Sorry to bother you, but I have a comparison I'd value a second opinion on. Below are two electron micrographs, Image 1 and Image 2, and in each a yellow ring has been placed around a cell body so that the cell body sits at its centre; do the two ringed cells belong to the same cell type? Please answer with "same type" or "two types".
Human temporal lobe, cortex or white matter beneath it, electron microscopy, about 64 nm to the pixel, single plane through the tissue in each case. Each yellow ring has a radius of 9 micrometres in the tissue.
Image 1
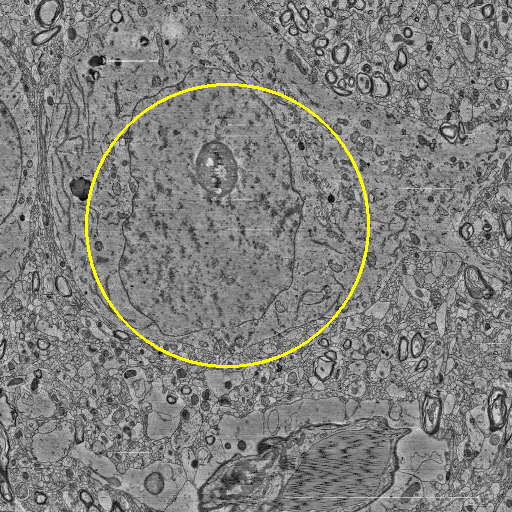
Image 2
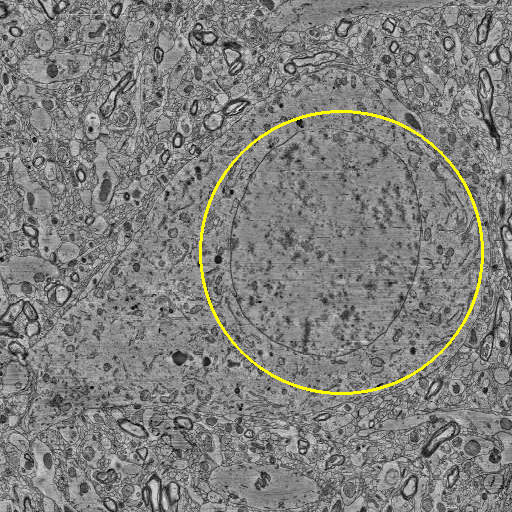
same type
